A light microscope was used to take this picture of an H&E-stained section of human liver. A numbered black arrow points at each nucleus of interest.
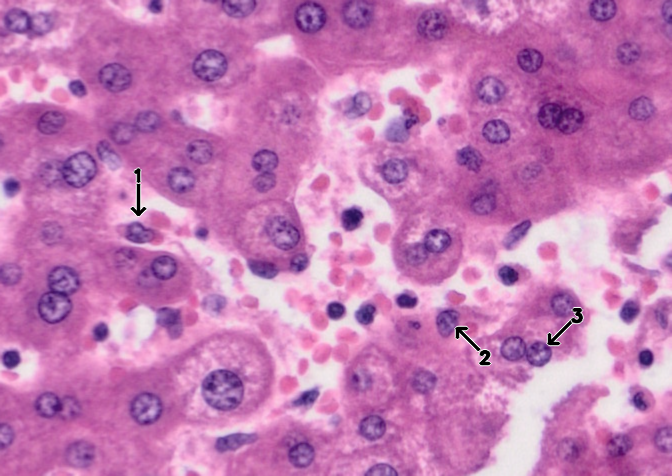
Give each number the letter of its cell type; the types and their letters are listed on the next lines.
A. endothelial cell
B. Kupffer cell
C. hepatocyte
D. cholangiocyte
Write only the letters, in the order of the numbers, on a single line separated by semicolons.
B; B; C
